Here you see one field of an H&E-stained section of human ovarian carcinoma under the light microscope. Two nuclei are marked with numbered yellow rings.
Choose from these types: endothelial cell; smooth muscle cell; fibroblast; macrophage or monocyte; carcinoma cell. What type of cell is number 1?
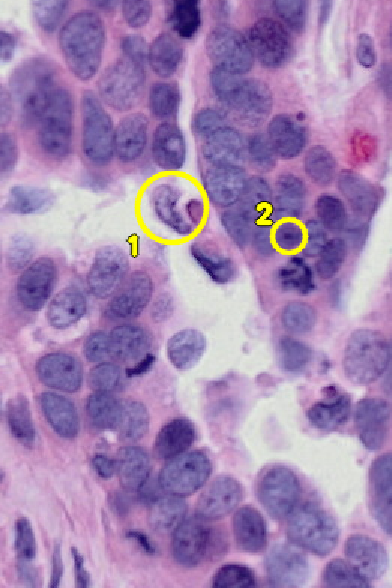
macrophage or monocyte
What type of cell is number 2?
carcinoma cell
